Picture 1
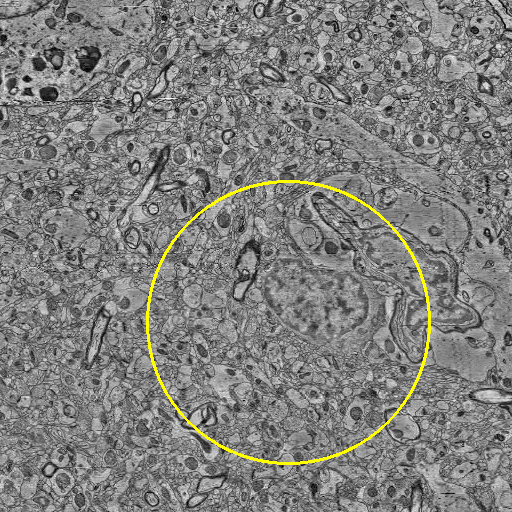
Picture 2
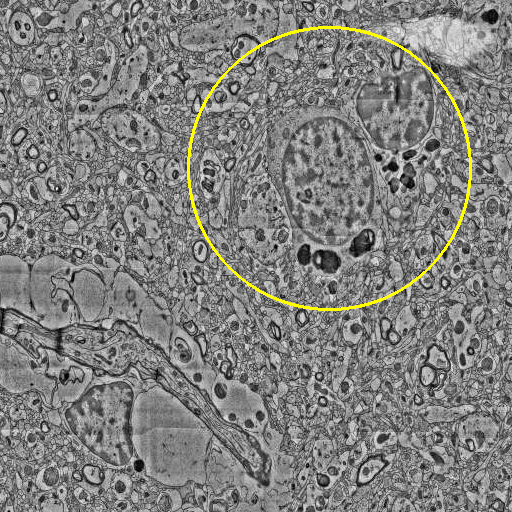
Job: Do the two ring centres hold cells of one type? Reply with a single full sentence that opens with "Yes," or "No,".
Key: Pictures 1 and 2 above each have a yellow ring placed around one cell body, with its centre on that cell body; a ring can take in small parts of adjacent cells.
Yes, the cells at the two ring centres are of one single type.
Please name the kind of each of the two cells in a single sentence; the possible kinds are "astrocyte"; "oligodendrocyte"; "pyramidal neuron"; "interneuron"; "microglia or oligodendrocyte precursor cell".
Each of the two rings is centred on an oligodendrocyte.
